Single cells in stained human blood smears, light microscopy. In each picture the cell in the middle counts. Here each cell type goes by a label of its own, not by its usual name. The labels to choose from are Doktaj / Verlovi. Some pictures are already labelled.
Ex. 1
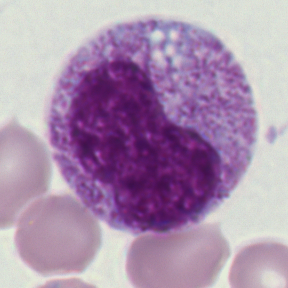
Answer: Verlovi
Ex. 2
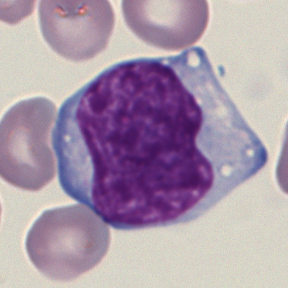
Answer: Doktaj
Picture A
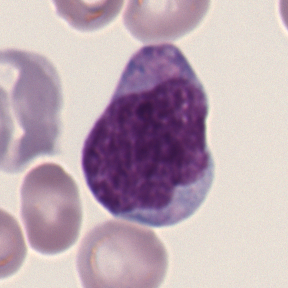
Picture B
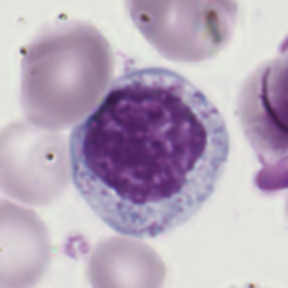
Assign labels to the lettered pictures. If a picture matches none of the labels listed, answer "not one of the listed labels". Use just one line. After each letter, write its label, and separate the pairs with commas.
A not one of the listed labels, B Verlovi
